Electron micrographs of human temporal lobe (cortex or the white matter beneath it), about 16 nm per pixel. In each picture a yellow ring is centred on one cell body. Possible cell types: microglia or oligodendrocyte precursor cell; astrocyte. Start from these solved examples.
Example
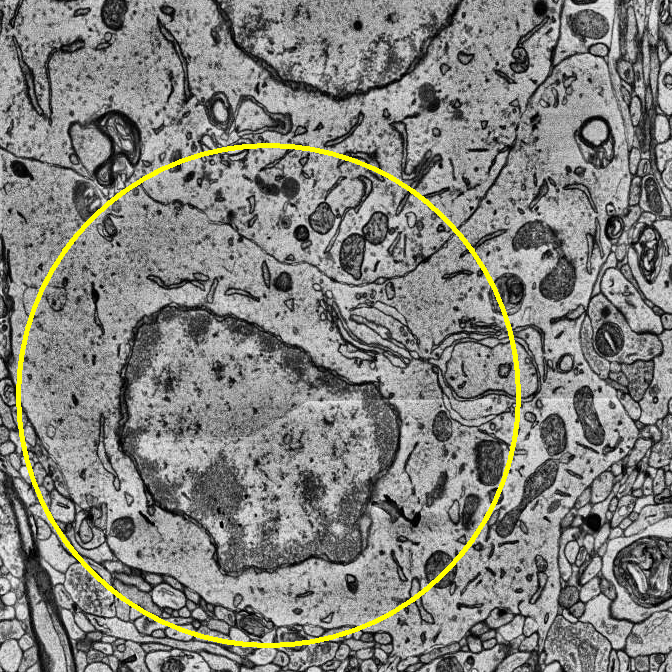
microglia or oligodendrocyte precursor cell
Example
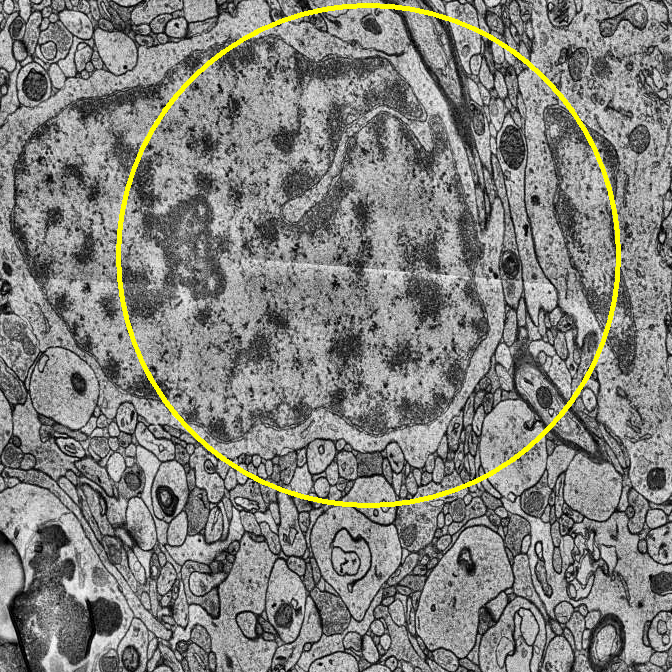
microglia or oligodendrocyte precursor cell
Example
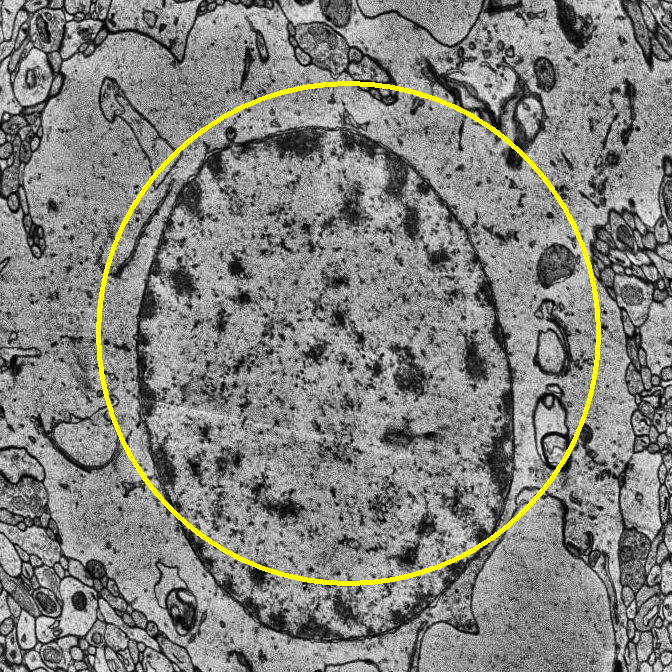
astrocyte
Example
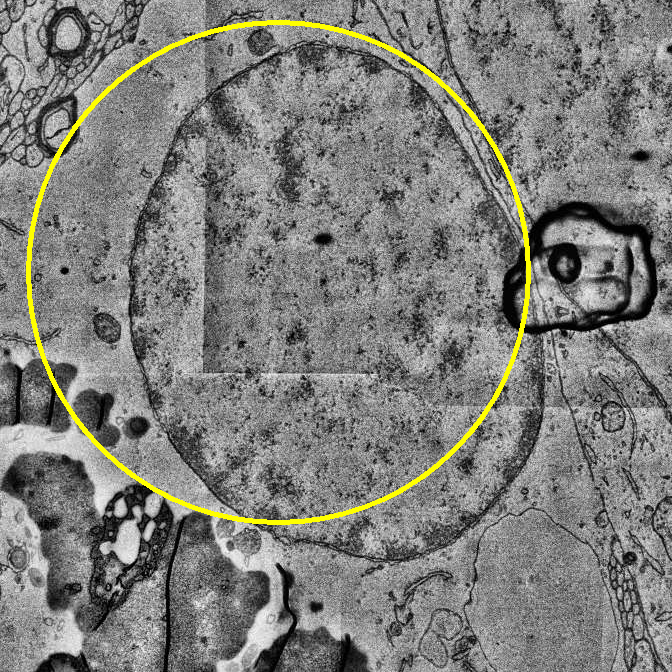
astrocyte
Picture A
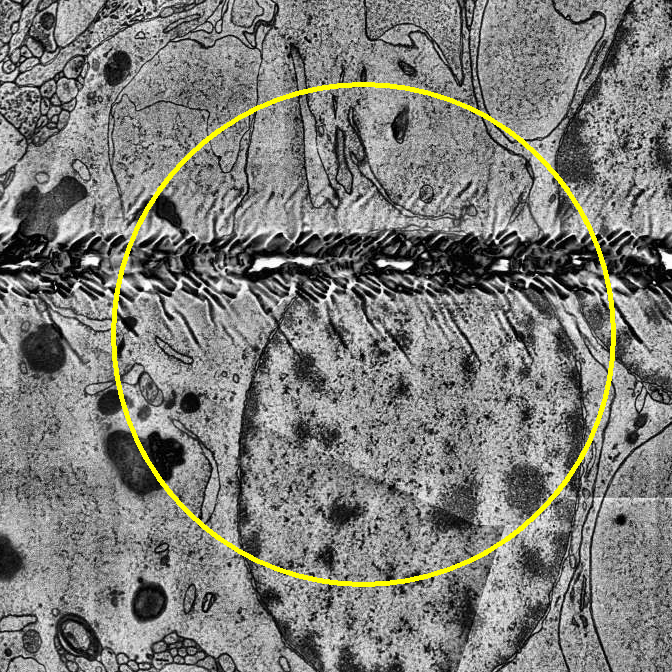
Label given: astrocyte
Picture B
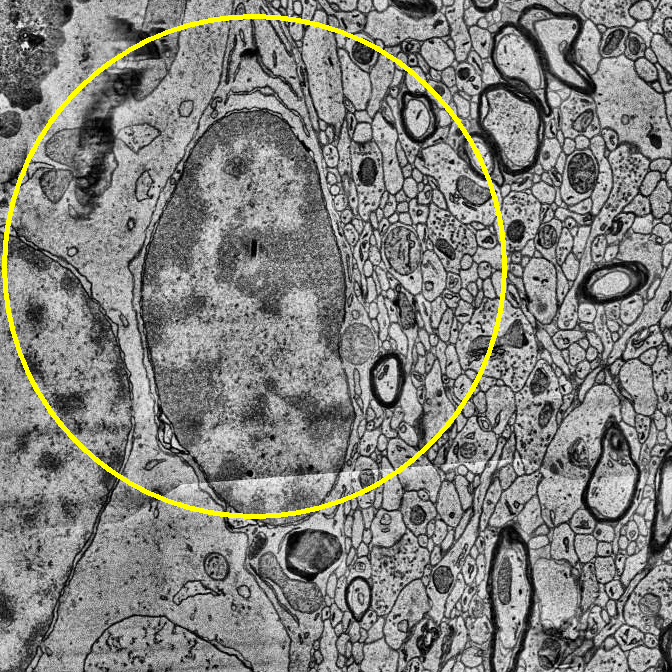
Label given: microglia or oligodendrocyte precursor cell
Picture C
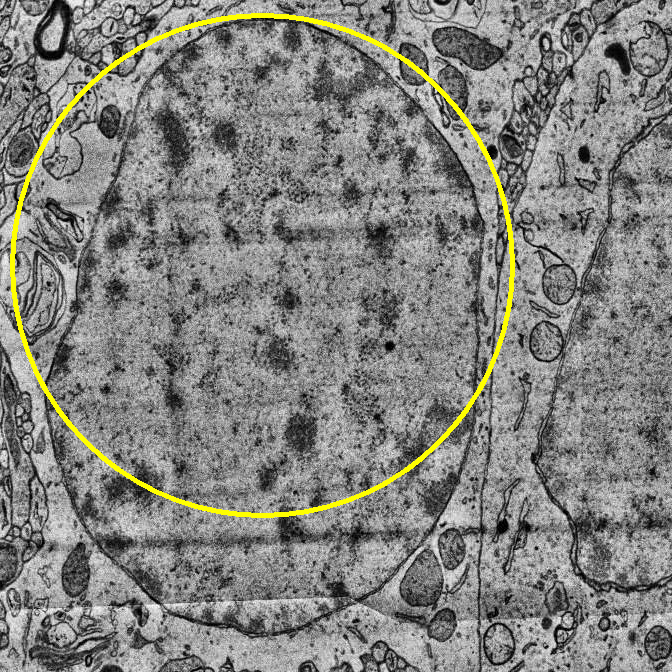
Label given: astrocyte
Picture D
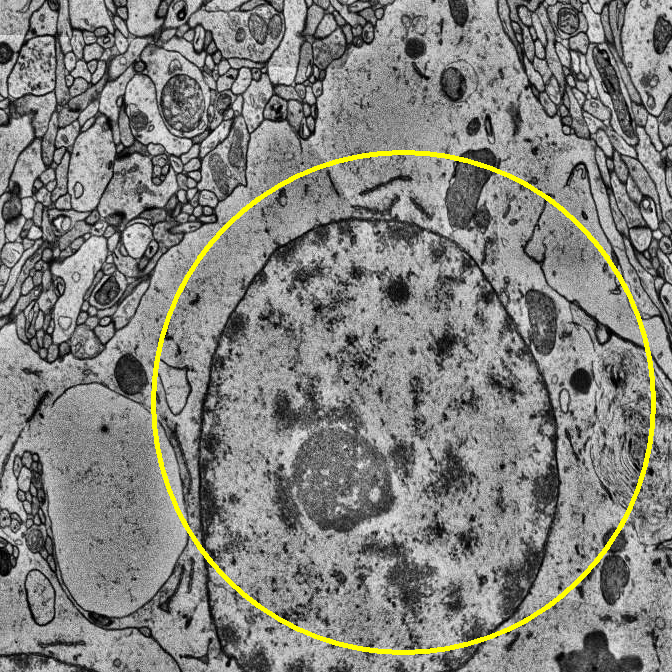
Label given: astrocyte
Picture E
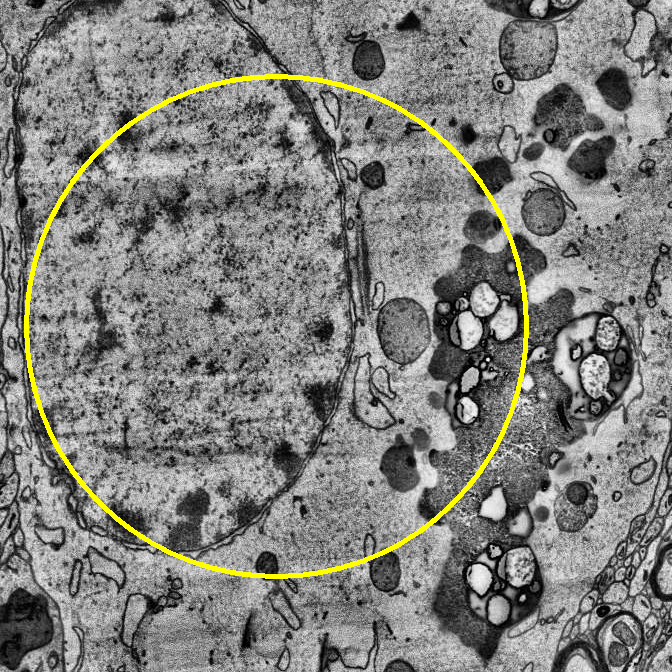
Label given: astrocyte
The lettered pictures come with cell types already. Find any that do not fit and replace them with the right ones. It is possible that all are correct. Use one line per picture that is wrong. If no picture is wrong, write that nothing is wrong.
All labels are correct.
